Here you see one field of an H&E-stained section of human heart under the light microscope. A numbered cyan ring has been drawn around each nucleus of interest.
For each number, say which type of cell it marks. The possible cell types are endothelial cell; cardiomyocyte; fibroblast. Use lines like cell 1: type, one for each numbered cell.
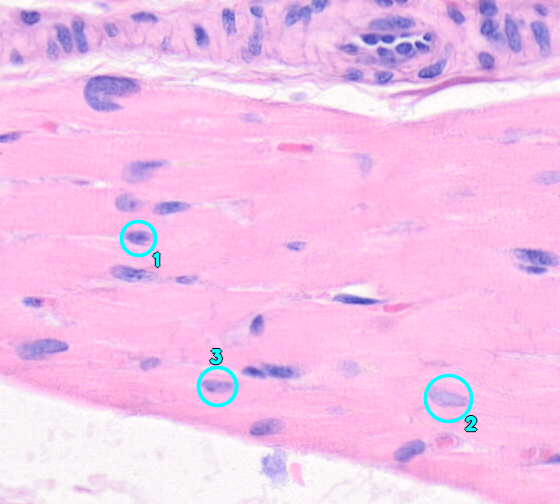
cell 1: fibroblast
cell 2: cardiomyocyte
cell 3: cardiomyocyte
